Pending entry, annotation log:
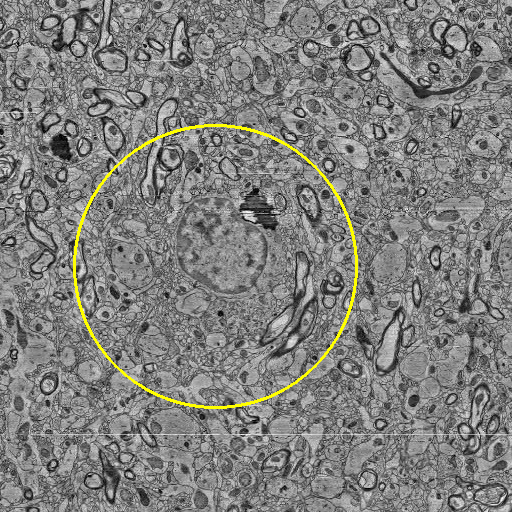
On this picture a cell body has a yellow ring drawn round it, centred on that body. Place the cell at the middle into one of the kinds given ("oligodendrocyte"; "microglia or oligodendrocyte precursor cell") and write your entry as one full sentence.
The cell body at the middle of the yellow ring belongs to an oligodendrocyte.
